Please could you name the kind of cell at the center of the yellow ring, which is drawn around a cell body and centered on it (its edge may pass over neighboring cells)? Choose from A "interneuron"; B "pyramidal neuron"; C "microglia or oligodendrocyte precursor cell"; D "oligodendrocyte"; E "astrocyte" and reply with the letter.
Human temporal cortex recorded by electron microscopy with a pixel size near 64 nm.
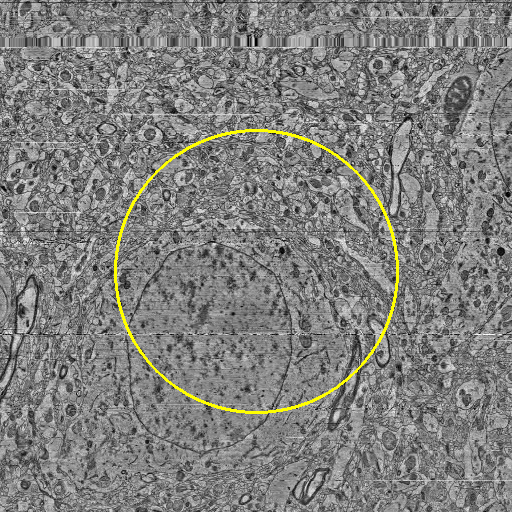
B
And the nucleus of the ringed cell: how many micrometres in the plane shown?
Approximately 14 x 11 micrometres in this plane.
